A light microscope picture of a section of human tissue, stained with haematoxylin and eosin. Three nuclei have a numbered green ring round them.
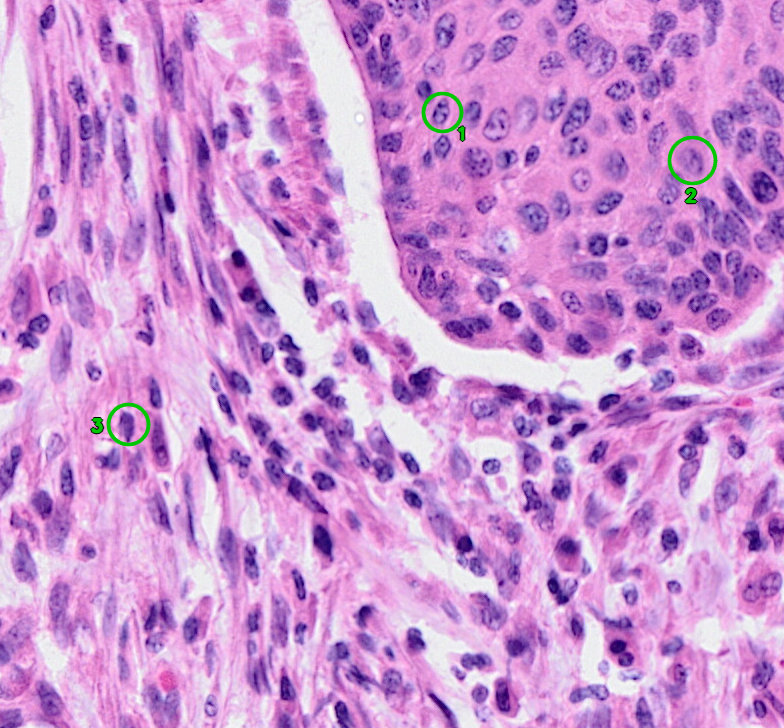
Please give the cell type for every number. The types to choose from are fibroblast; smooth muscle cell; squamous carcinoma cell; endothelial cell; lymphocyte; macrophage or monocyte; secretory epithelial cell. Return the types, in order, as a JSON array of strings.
["squamous carcinoma cell", "squamous carcinoma cell", "lymphocyte"]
